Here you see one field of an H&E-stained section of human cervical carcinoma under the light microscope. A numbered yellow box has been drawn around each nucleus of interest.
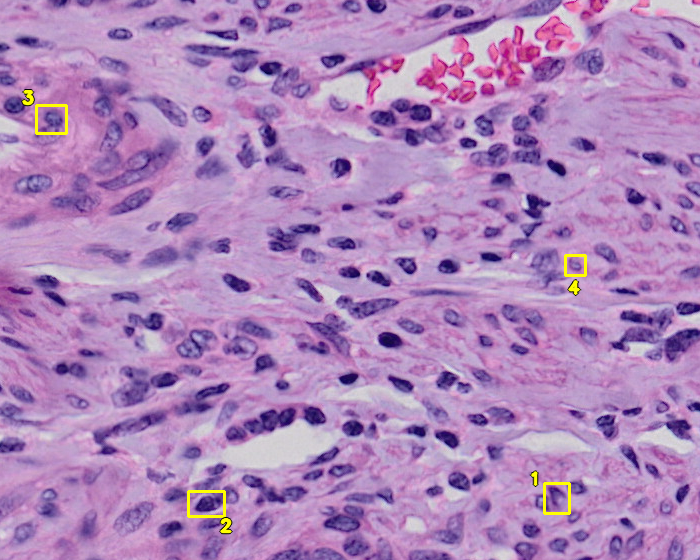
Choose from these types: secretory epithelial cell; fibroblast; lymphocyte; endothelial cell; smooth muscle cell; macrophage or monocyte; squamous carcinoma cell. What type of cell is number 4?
smooth muscle cell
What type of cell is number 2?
lymphocyte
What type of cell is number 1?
smooth muscle cell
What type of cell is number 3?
smooth muscle cell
